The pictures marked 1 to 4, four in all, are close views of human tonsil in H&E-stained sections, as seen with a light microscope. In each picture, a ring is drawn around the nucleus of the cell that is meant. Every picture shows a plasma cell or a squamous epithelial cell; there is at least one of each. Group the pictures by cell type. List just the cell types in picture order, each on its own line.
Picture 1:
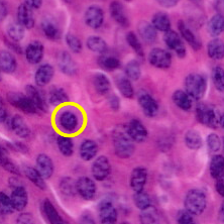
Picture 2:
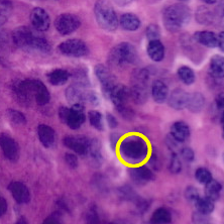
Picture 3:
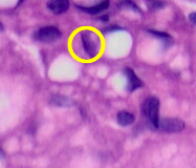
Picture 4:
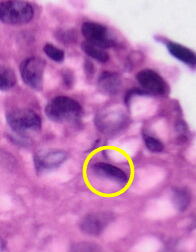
plasma cell
squamous epithelial cell
squamous epithelial cell
squamous epithelial cell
